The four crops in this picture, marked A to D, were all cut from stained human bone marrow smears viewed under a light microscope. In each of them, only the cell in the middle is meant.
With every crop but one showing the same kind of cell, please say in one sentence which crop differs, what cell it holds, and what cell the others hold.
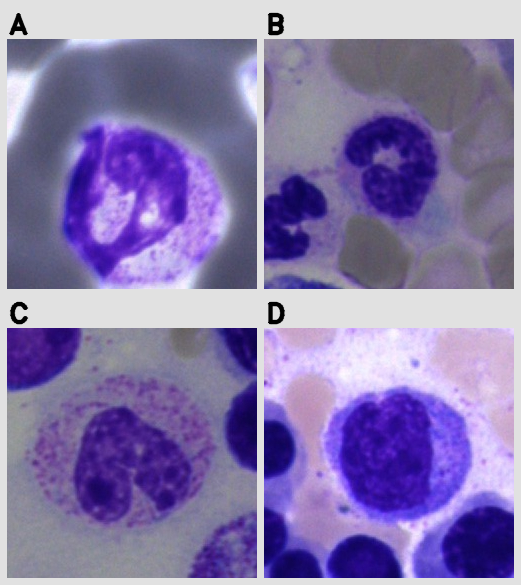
The others are all segmented neutrophils; crop D is a monocyte.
